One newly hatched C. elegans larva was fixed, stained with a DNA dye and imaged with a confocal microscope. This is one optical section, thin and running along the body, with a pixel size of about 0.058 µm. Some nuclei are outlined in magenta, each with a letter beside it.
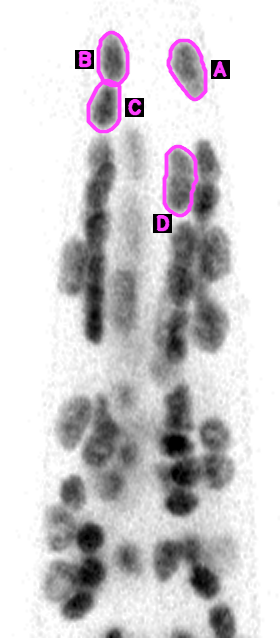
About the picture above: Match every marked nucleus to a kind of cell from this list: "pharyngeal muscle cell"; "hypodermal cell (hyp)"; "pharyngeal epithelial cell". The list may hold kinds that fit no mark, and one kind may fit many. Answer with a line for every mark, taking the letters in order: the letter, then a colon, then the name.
A: hypodermal cell (hyp)
B: hypodermal cell (hyp)
C: hypodermal cell (hyp)
D: pharyngeal epithelial cell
